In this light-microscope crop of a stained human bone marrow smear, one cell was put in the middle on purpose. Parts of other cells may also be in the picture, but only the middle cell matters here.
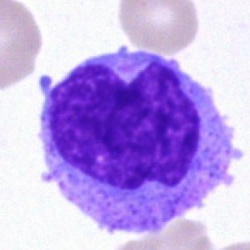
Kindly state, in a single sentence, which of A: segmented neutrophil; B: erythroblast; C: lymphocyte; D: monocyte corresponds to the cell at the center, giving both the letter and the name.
Option D is right in identifying the central cell as a monocyte.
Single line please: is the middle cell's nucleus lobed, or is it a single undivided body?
The nucleus amounts to one compact mass with a round, oval or kidney-shaped outline.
